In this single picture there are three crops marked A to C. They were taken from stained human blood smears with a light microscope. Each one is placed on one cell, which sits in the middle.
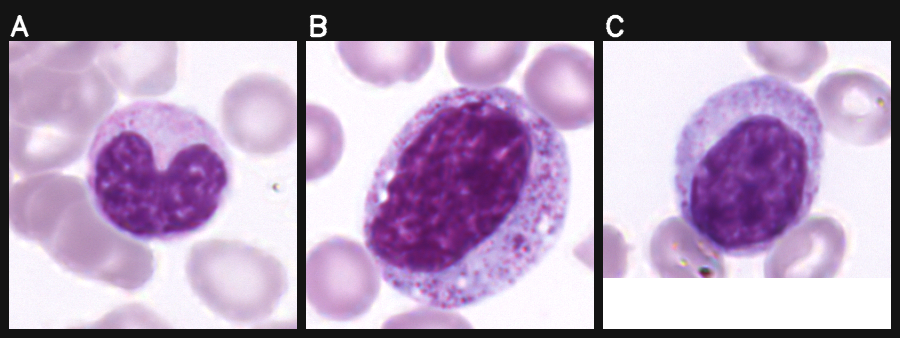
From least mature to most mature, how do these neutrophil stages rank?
B, C, A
